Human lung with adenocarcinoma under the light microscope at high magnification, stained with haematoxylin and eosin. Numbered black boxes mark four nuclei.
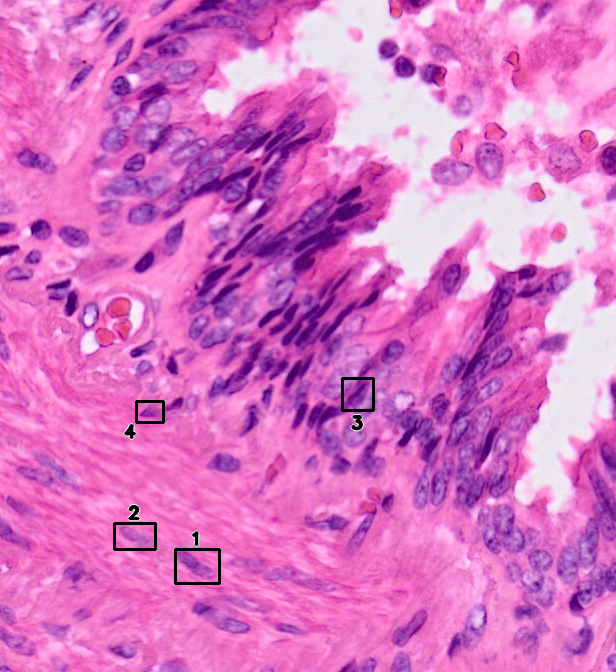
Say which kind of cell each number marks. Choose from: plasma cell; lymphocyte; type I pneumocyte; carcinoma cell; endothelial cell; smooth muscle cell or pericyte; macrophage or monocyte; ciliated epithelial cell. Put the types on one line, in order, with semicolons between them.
smooth muscle cell or pericyte; smooth muscle cell or pericyte; ciliated epithelial cell; smooth muscle cell or pericyte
